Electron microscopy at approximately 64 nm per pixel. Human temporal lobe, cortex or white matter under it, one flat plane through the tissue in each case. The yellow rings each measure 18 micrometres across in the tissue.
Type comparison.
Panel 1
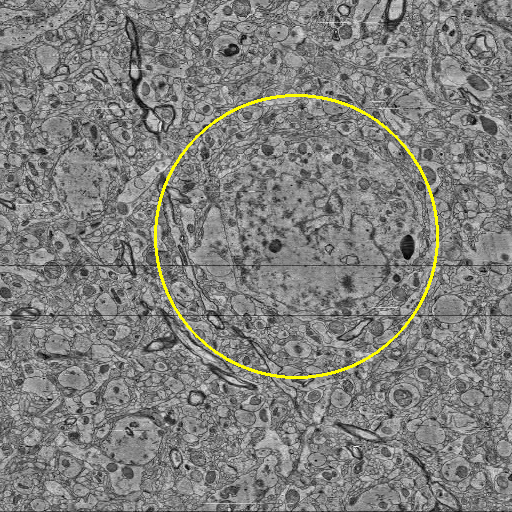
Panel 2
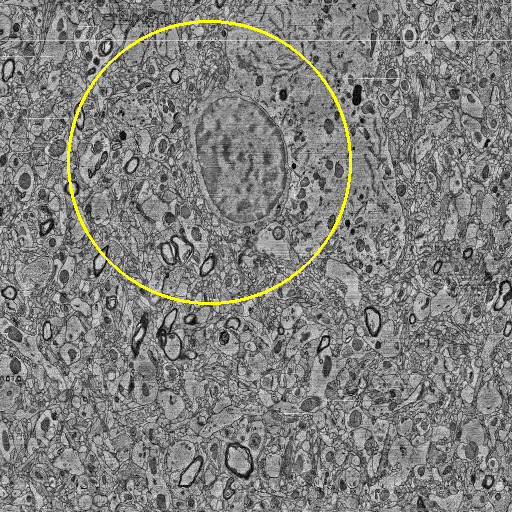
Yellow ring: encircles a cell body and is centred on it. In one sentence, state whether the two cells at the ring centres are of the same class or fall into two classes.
In these panels, the two cells at the ring centres fall into two classes.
